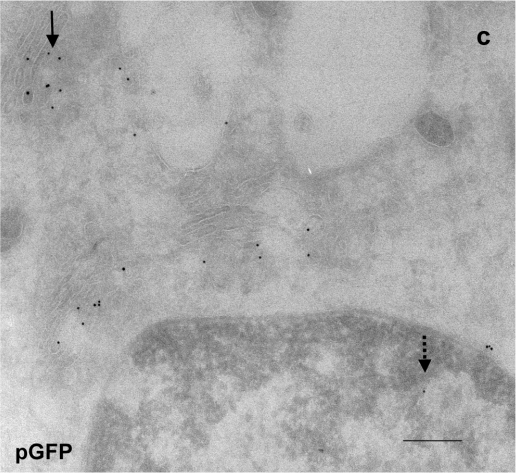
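In the lower part lies the nucleus, with mottled chromatin and a darker band of condensed chromatin along its envelope. Above it, the cytoplasm contains stacks of flattened, parallel membrane cisternae forming Golgi stacks, with small vesicles at their edges, and large pale rounded vacuole-like spaces towards the top.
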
